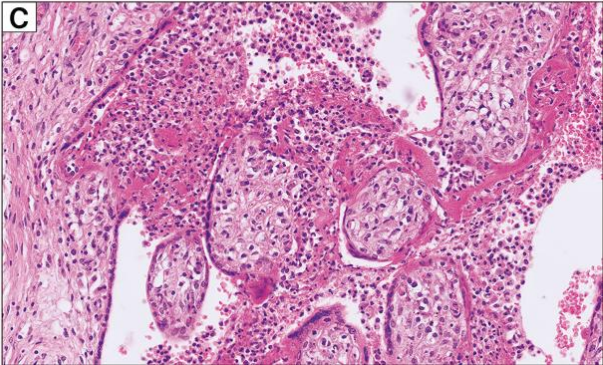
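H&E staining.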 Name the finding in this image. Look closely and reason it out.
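Dense sheets of small dark-nucleated inflammatory cells fill the spaces between the villi. The inflammatory cells crowd right up against the villous surfaces.
Answer: florid intervillositis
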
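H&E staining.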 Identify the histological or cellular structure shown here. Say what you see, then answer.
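Several rounded profiles with a loose pale stromal core are bounded by a thin cellular covering. The rounded profiles lie separated by spaces containing blood and other cells.
Answer: villi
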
